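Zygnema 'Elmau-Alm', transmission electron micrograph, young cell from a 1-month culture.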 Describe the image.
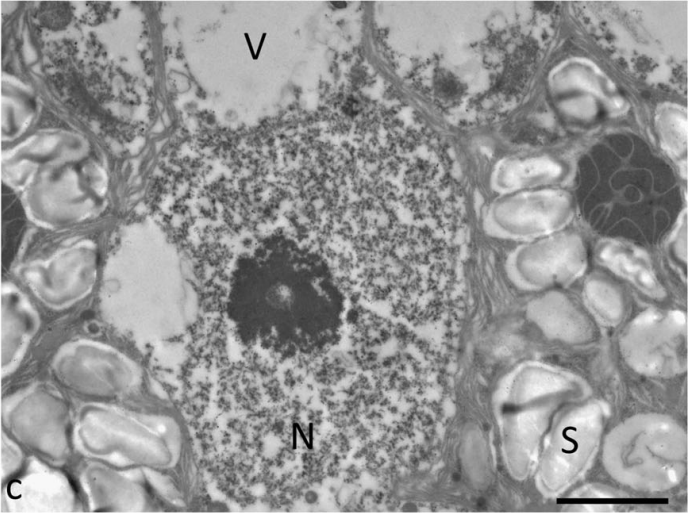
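The nucleus is a large, pale-grey region filled with fine dark granules, and near its centre lies a compact, very dark rounded body. Thin membrane bands wind between the grains. At the top, pale, almost empty spaces are vacuoles, and on the right a dark rounded body is ringed by the pale grains.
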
